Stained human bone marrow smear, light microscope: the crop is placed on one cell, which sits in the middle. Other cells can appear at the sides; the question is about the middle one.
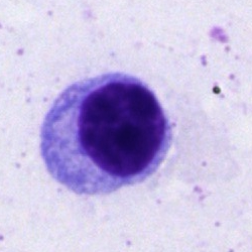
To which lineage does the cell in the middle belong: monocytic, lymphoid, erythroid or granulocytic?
lymphoid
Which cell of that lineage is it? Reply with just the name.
lymphocyte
